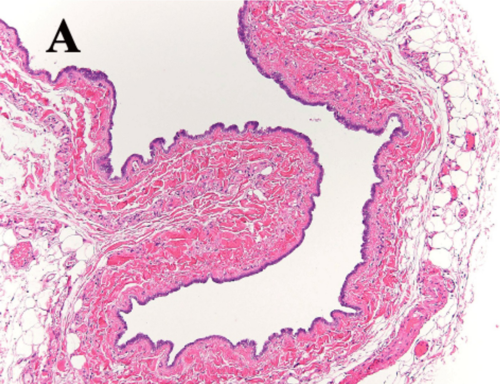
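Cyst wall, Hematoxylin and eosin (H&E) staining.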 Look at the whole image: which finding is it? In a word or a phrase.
luminal projections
